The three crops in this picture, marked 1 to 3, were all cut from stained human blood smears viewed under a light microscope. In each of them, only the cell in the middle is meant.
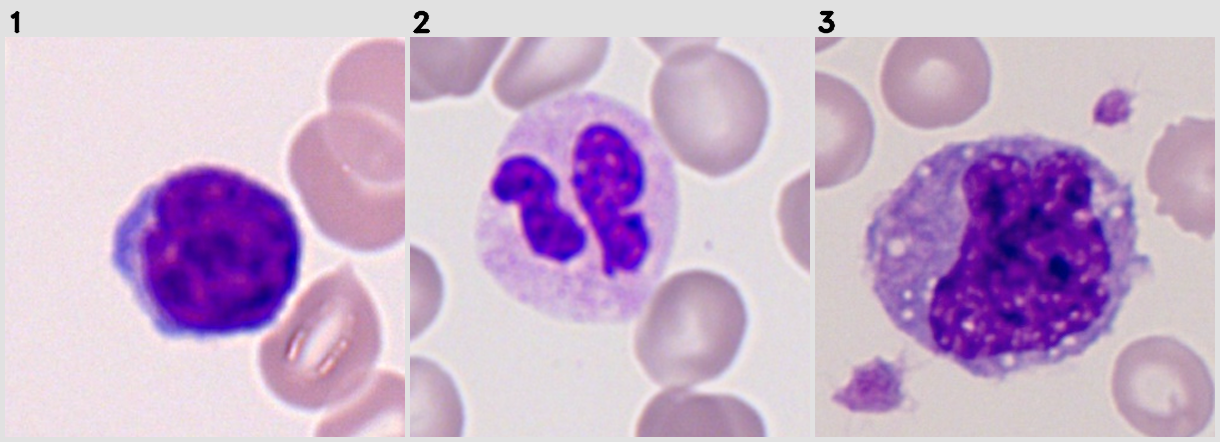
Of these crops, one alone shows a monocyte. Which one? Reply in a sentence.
It is in crop 3 that a monocyte is shown.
